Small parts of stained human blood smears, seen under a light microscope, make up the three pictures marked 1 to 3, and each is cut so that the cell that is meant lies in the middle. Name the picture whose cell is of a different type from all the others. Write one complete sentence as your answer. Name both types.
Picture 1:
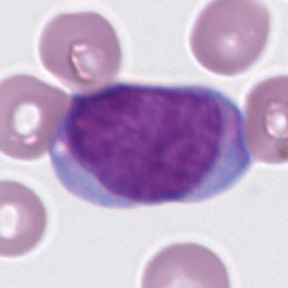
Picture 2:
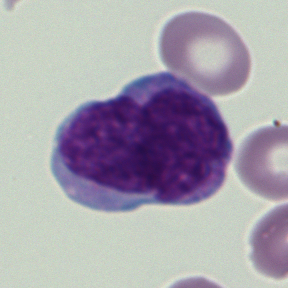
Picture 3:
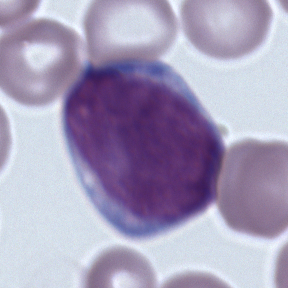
The others show atypical promyelocytes, but picture 3 shows a myeloblast.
